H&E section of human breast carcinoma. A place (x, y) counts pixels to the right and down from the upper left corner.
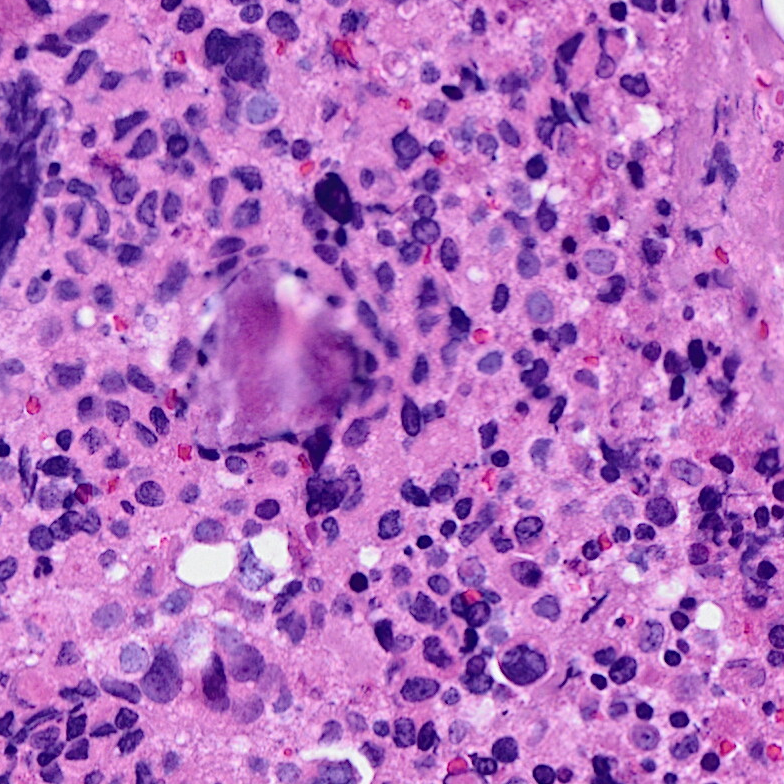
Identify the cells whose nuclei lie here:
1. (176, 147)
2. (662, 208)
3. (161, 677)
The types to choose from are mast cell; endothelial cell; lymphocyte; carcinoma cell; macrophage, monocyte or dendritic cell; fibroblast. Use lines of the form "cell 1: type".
cell 1: carcinoma cell
cell 2: lymphocyte
cell 3: carcinoma cell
